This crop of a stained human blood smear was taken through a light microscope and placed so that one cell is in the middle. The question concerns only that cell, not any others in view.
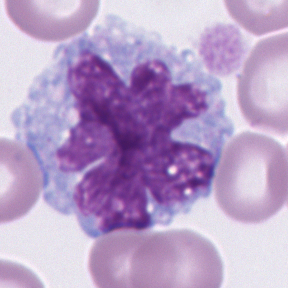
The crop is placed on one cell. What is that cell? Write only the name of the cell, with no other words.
monocyte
